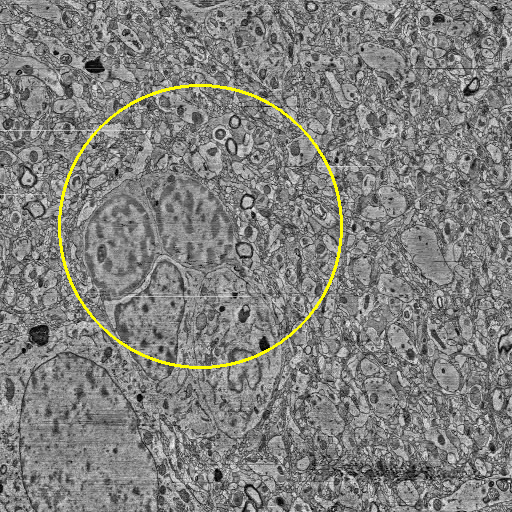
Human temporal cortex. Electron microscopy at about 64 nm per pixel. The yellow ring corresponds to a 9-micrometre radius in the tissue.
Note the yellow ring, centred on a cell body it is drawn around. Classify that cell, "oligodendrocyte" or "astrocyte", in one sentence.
The cell the ring is centred on is an oligodendrocyte.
